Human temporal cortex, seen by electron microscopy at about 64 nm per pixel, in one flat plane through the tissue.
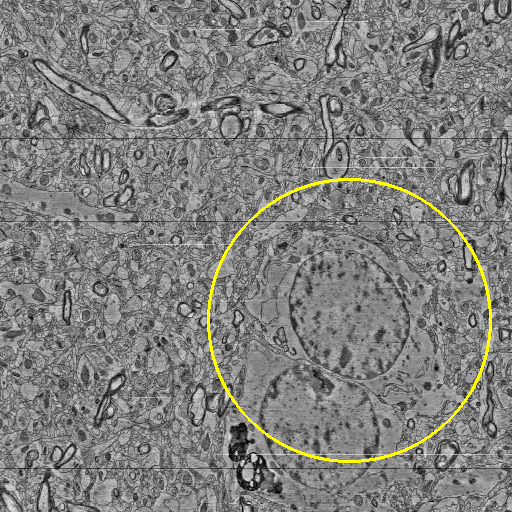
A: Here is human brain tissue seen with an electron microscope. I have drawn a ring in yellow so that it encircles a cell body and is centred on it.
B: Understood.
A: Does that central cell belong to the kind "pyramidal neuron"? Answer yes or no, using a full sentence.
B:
No, the central cell inside your yellow ring belongs to another kind.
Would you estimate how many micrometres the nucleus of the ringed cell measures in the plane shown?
Approximately 9 by 7 micrometers in this plane.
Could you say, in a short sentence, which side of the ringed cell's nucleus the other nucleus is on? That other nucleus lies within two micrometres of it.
The other nucleus appears to the lower left of it.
